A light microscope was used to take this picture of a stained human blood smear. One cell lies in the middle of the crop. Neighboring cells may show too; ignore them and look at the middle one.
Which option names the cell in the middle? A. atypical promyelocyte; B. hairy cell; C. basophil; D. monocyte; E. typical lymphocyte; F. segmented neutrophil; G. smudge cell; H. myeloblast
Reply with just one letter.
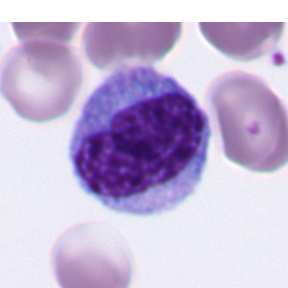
D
